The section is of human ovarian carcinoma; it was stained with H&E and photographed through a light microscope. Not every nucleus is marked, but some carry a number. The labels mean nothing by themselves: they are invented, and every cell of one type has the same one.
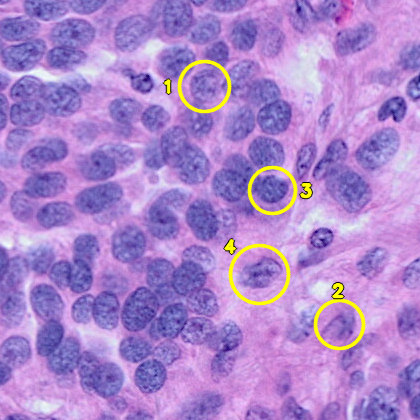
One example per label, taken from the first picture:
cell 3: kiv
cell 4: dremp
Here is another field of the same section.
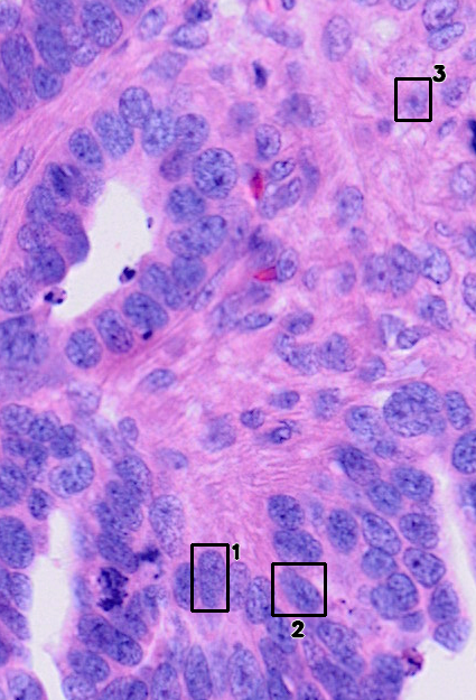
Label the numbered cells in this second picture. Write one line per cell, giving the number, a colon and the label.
1: kiv
2: kiv
3: dremp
